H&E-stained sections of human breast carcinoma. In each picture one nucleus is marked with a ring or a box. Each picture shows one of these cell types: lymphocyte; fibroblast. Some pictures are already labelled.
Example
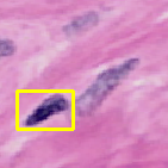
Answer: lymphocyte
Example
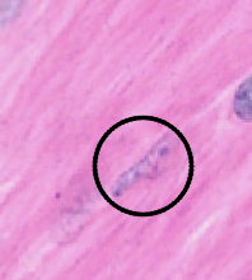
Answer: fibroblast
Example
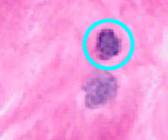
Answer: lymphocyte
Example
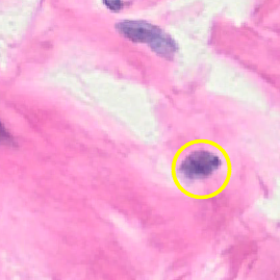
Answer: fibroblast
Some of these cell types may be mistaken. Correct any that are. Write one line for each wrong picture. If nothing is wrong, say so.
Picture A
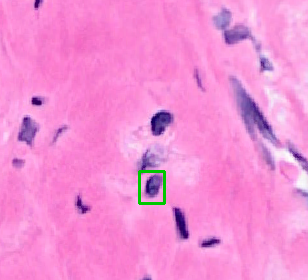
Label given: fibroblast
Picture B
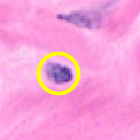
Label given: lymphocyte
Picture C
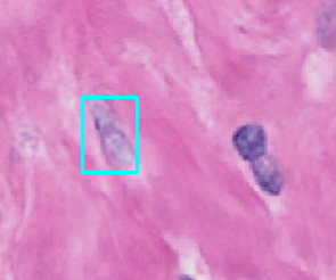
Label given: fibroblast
A: change fibroblast to lymphocyte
